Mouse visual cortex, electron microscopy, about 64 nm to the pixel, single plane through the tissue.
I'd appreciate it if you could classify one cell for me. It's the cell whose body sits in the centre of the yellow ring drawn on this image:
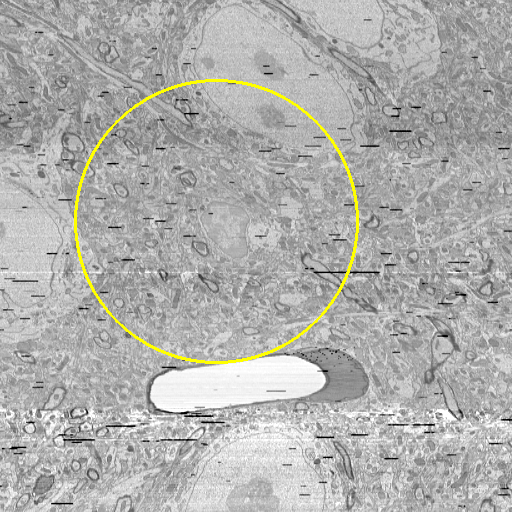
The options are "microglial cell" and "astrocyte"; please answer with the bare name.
microglial cell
